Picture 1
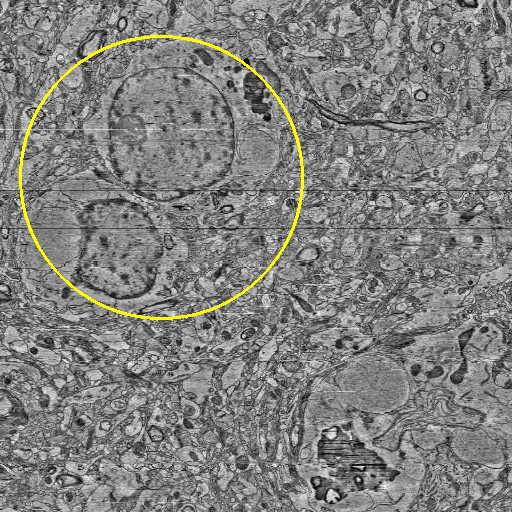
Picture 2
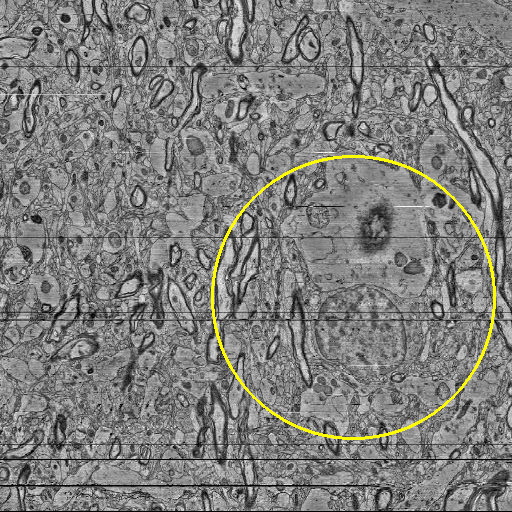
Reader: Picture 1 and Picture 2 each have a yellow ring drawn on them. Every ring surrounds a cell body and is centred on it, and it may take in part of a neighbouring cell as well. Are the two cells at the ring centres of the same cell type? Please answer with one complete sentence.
No, the cells are of two cell types.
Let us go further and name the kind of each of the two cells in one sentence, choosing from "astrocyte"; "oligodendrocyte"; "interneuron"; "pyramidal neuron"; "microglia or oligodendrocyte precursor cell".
The ring of the first picture is on an astrocyte, the ring of the second on an oligodendrocyte.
